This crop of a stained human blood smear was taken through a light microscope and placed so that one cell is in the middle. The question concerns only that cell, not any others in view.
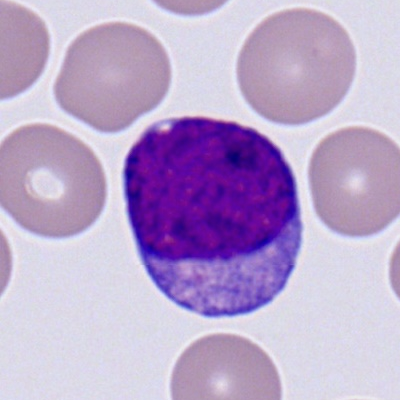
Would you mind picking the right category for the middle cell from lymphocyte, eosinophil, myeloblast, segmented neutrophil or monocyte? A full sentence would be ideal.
The middle of this crop holds a myeloblast.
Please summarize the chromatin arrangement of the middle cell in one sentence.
Its nuclear chromatin is gathered into coarse clumps.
